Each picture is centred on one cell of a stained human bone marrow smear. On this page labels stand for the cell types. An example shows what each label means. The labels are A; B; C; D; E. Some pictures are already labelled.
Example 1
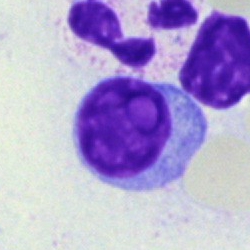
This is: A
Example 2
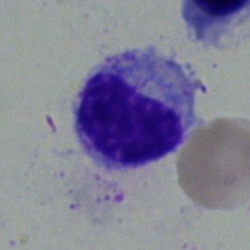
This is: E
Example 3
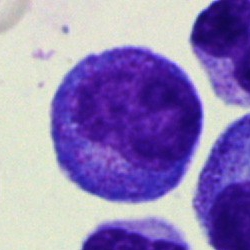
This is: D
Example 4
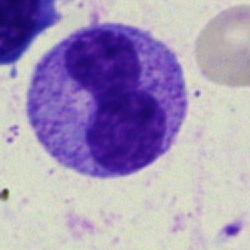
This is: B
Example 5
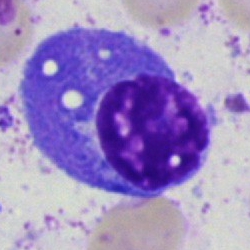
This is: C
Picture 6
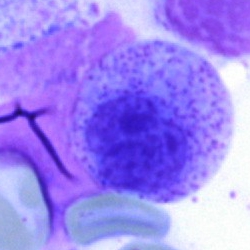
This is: E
